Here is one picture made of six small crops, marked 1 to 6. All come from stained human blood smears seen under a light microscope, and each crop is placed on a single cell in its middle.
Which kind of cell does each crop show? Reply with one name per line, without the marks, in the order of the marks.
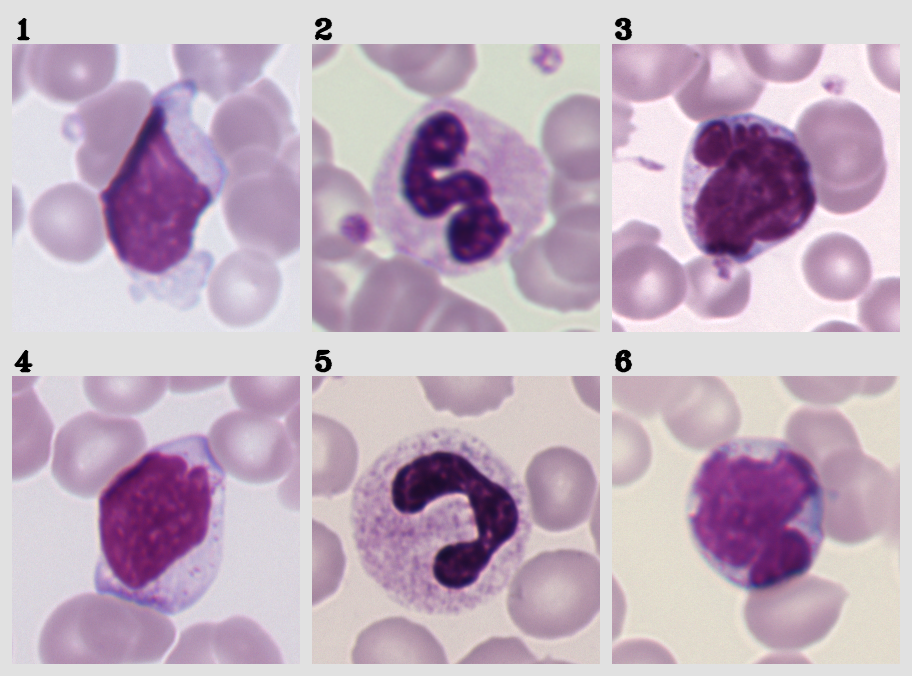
large granular lymphocyte
neutrophil
large granular lymphocyte
large granular lymphocyte
neutrophil
large granular lymphocyte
